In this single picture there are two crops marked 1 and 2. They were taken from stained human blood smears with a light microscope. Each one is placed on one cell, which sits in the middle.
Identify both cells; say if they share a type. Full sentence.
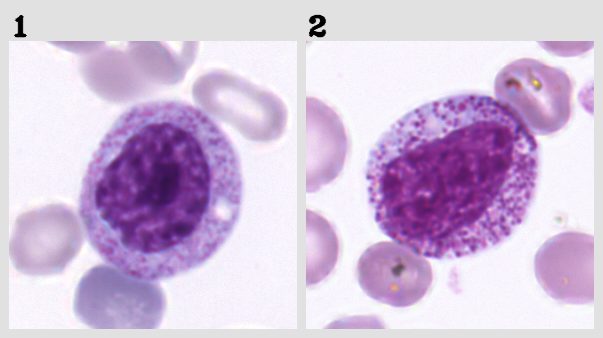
Yes, the two crops show myelocytes at their centres.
